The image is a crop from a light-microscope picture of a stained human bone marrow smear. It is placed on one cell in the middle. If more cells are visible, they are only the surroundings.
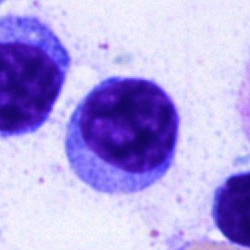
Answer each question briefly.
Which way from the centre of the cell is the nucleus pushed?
upper right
